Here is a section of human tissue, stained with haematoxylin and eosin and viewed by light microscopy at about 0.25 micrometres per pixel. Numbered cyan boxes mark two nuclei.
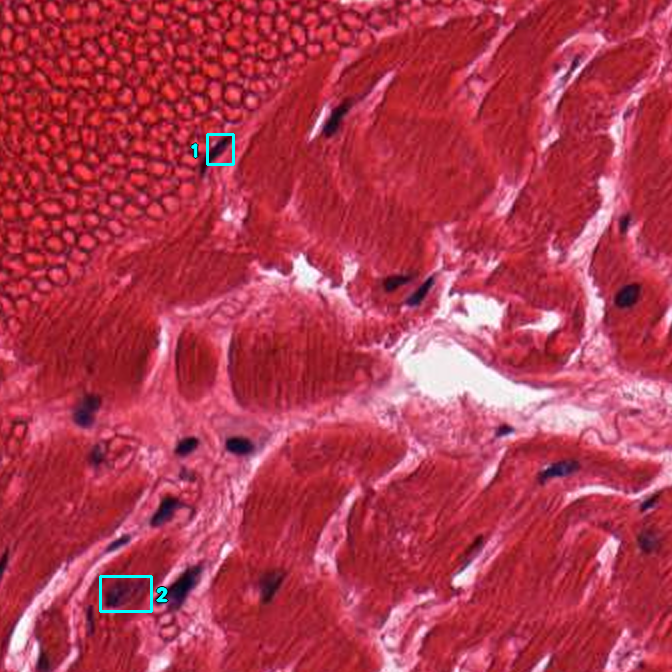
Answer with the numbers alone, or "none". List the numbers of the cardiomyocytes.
2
